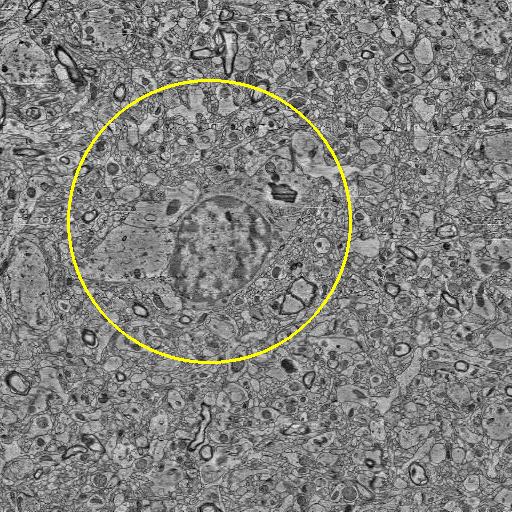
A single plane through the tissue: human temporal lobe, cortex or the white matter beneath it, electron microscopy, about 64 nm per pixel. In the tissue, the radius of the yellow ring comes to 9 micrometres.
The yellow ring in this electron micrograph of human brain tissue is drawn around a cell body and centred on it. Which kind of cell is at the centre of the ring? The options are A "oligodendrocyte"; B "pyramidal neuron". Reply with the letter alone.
A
